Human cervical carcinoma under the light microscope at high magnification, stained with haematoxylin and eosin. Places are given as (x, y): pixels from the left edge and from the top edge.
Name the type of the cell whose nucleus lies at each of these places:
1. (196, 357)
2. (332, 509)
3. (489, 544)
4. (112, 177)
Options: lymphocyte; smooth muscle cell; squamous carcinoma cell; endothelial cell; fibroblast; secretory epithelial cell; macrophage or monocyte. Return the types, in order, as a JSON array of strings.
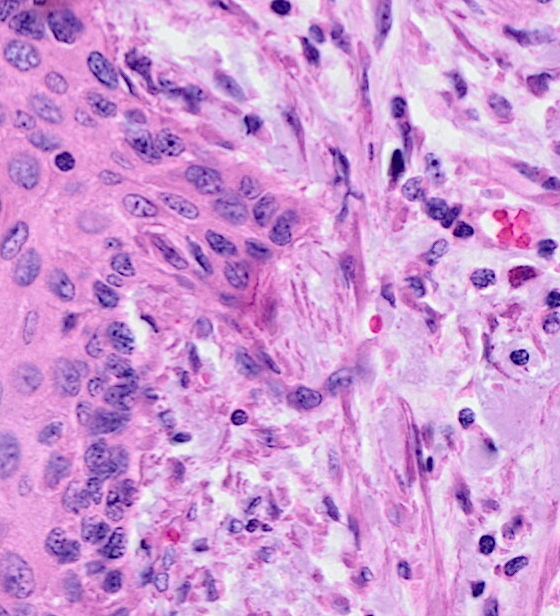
["fibroblast", "fibroblast", "lymphocyte", "squamous carcinoma cell"]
